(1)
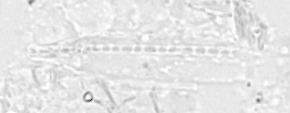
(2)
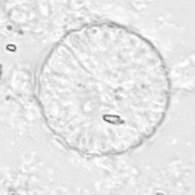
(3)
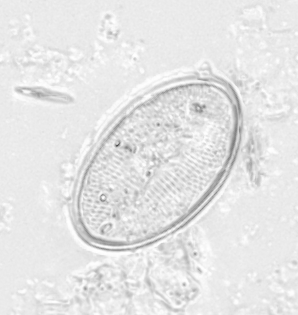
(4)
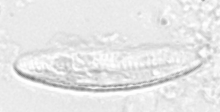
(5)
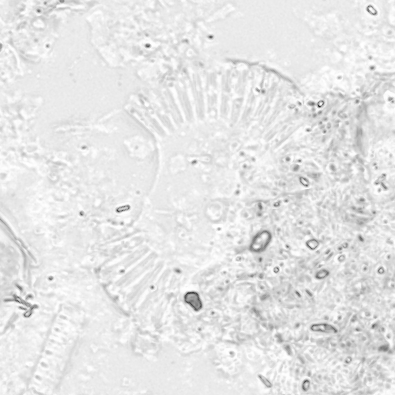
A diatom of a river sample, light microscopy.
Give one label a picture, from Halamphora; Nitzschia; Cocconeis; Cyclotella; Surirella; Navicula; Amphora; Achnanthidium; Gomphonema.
Picture 1: Nitzschia
Picture 2: Cyclotella
Picture 3: Cocconeis
Picture 4: Achnanthidium
Picture 5: Cyclotella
